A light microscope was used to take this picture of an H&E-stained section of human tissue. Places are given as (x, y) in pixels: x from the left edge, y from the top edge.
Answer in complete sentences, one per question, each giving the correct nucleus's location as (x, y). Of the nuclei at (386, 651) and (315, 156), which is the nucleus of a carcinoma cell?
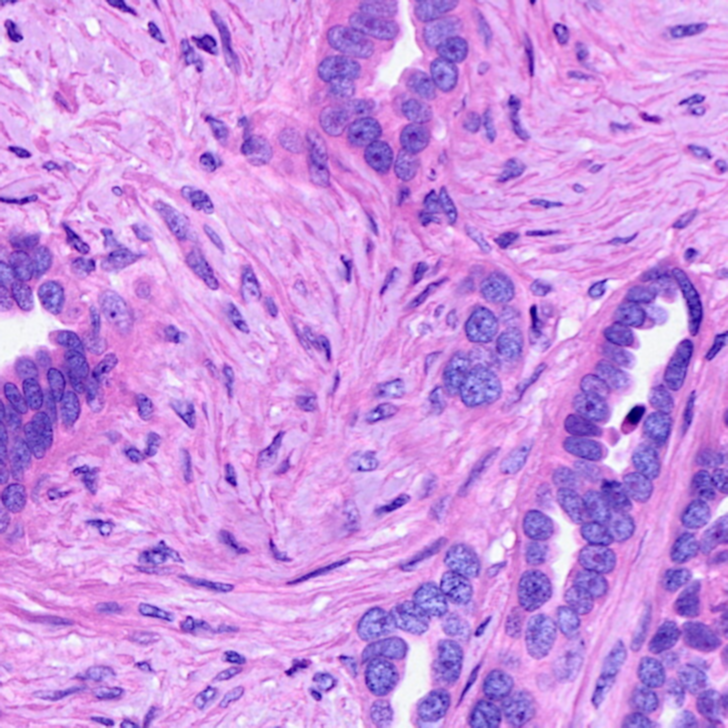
Belonging to a carcinoma cell is the nucleus at (386, 651).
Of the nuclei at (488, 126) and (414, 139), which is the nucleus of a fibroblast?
Among the two, the nucleus at (488, 126) is the nucleus of a fibroblast.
